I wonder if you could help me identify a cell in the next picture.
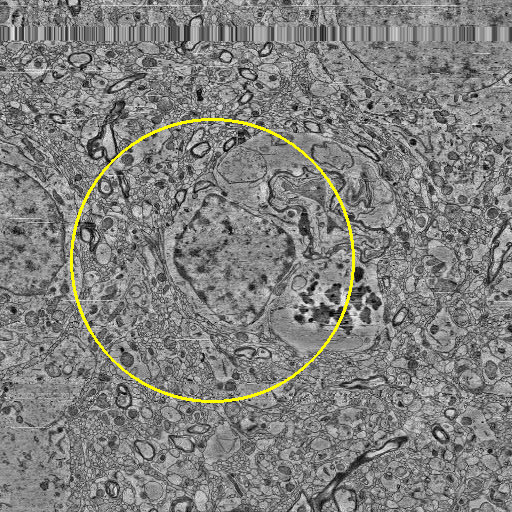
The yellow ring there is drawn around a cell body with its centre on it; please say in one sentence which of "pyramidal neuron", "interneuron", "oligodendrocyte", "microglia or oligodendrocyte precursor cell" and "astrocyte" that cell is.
The yellow ring is centred on a microglial cell or oligodendrocyte precursor cell.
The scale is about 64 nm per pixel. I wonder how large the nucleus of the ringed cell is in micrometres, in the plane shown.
In this plane the nucleus spans approximately 9 by 7 micrometers.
